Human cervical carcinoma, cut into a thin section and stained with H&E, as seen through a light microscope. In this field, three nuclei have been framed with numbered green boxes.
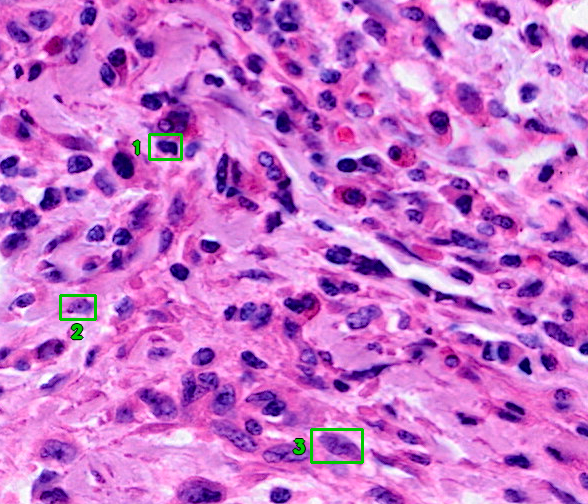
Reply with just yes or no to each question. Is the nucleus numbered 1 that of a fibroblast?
no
